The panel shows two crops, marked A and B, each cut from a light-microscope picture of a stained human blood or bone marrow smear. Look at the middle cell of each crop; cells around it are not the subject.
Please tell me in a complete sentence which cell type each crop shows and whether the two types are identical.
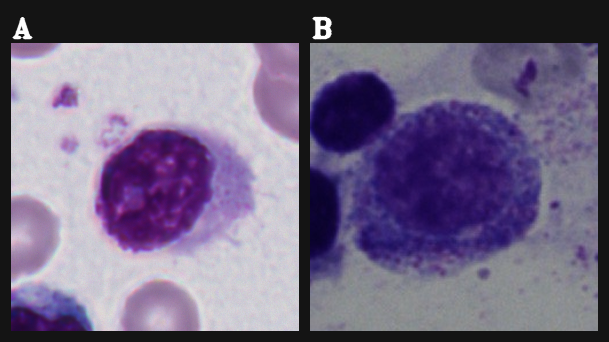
No, crop A features a plasma cell, and crop B features a promyelocyte.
